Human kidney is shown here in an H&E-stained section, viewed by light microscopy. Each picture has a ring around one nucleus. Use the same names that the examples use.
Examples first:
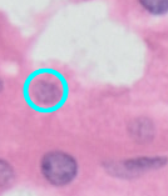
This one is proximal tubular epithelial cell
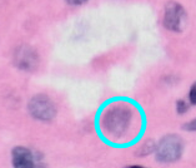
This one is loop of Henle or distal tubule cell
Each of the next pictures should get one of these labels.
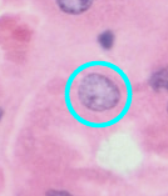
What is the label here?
proximal tubular epithelial cell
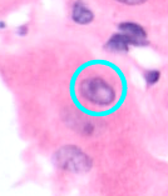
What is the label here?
proximal tubular epithelial cell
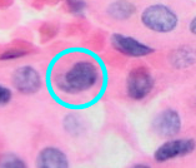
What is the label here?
loop of Henle or distal tubule cell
